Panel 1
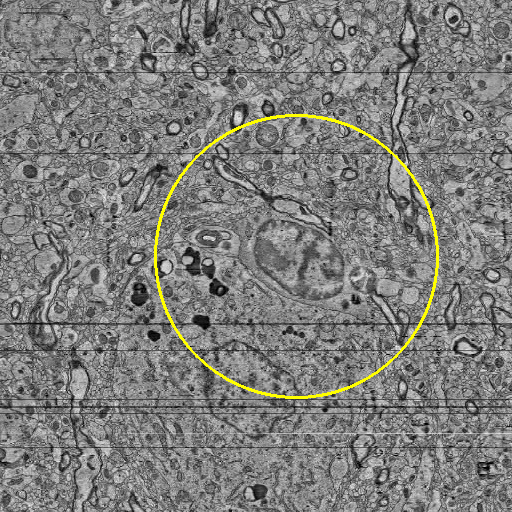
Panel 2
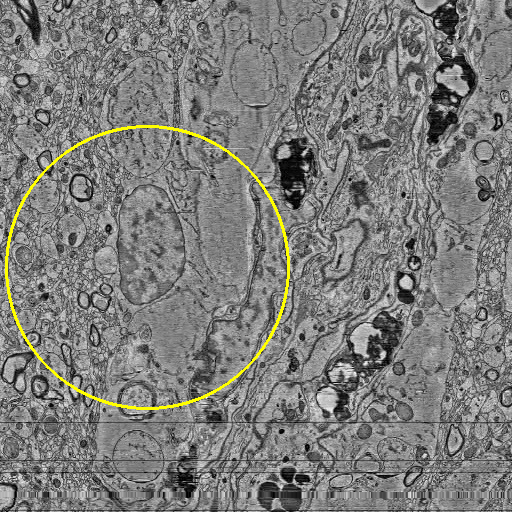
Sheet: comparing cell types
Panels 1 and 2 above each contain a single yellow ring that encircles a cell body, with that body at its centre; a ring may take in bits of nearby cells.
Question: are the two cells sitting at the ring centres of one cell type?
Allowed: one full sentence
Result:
No, the ring-centre cells in Panel 1 and Panel 2 are of two types.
